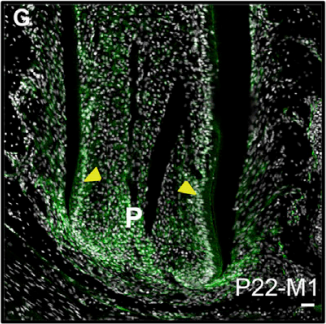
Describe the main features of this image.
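This is a developing molar root, with the pulp filling the middle and cells lining its walls on either side. At the bottom, the pulp widens into a broad mass of cells at the open end of the root, where labelled cells are also plentiful.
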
